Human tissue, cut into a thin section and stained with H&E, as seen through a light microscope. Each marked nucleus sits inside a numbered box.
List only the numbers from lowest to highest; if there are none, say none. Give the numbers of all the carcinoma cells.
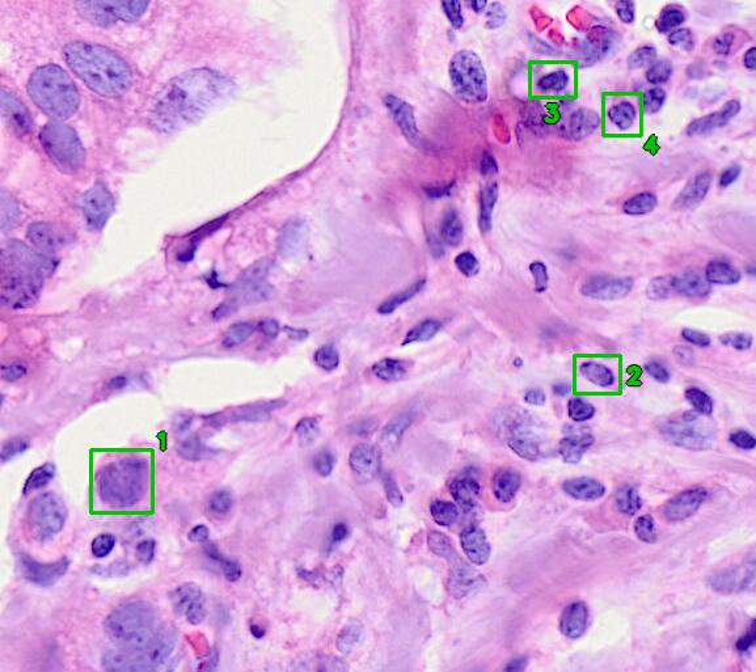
1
